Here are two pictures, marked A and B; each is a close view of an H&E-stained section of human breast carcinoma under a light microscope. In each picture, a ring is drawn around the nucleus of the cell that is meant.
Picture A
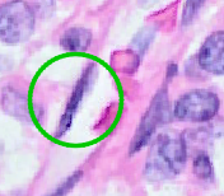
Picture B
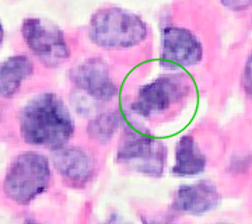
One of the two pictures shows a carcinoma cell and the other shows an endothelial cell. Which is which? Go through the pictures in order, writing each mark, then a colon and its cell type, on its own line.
A: endothelial cell
B: carcinoma cell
